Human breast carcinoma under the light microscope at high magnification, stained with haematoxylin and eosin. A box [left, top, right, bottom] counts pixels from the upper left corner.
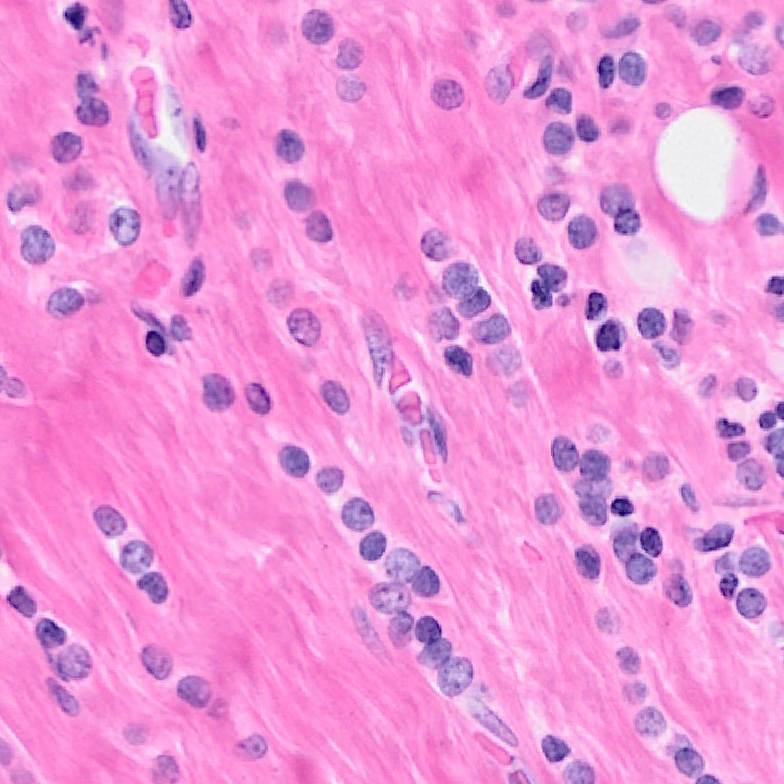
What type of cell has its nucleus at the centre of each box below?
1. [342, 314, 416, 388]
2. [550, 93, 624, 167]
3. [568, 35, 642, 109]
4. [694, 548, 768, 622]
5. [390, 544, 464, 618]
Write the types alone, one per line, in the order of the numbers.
endothelial cell
lymphocyte
lymphocyte
lymphocyte
carcinoma cell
